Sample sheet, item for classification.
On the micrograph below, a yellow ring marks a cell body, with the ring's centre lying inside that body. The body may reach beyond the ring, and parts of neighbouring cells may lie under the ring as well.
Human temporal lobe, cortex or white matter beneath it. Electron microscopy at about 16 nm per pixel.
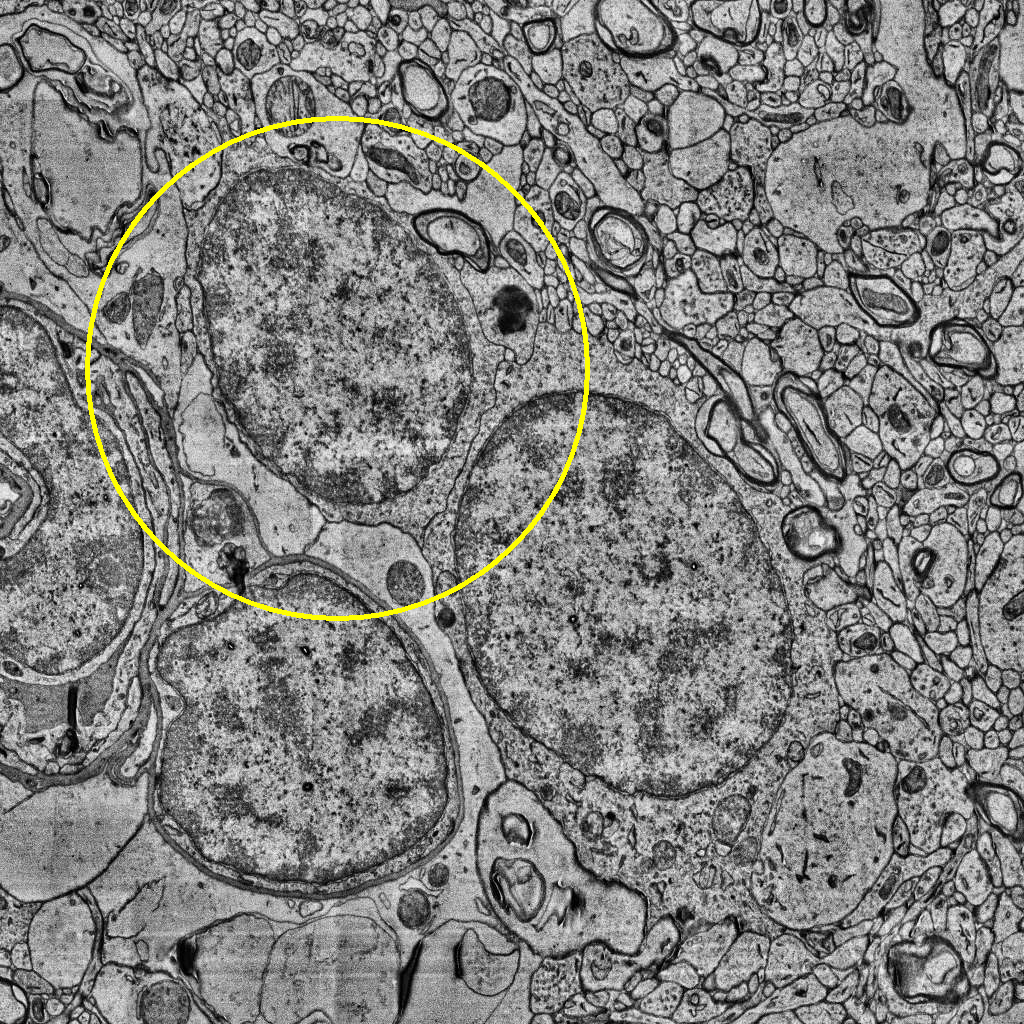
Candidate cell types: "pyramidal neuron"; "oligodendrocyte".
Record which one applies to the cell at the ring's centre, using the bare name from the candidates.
oligodendrocyte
